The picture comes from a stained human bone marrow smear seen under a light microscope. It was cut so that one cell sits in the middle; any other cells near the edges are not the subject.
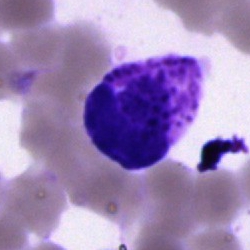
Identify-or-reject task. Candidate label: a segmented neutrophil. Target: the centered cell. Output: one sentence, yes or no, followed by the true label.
No, the cell sitting in the middle is a basophil, and it is not a segmented neutrophil.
